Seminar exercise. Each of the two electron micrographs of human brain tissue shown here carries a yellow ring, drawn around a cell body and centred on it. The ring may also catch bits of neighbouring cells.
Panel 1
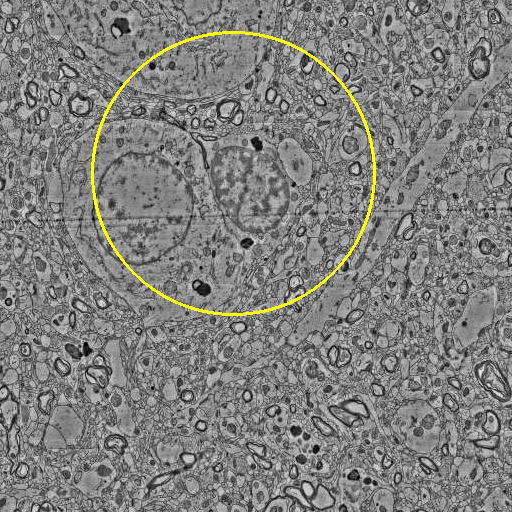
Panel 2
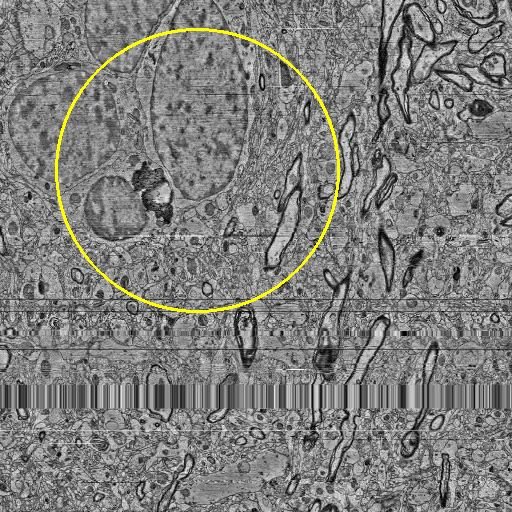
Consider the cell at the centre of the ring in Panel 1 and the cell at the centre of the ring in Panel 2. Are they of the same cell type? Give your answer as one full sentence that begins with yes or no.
No, the two cells are of two types.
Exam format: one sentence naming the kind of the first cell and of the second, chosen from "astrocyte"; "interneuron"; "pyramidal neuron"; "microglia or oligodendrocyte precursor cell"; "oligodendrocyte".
The first picture's cell is an oligodendrocyte, and the second picture's cell is a microglial cell or oligodendrocyte precursor cell.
